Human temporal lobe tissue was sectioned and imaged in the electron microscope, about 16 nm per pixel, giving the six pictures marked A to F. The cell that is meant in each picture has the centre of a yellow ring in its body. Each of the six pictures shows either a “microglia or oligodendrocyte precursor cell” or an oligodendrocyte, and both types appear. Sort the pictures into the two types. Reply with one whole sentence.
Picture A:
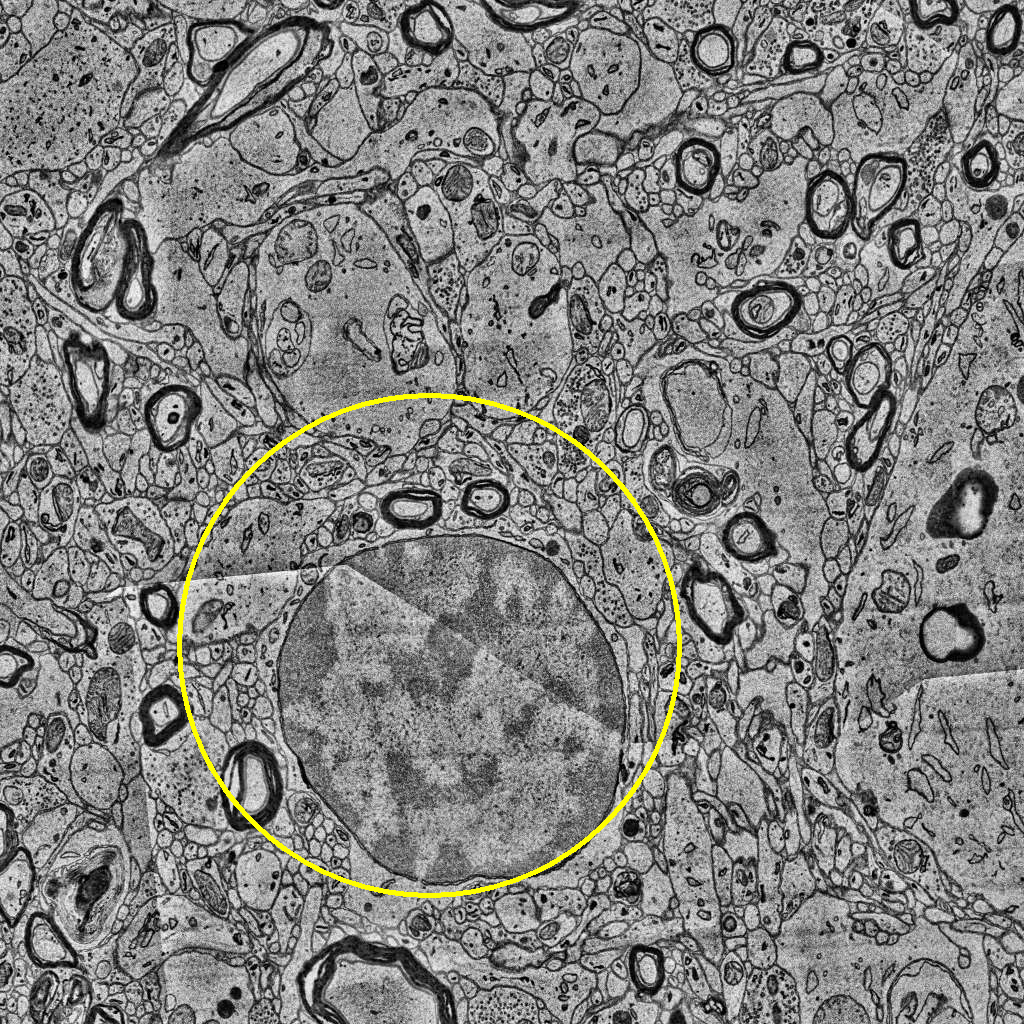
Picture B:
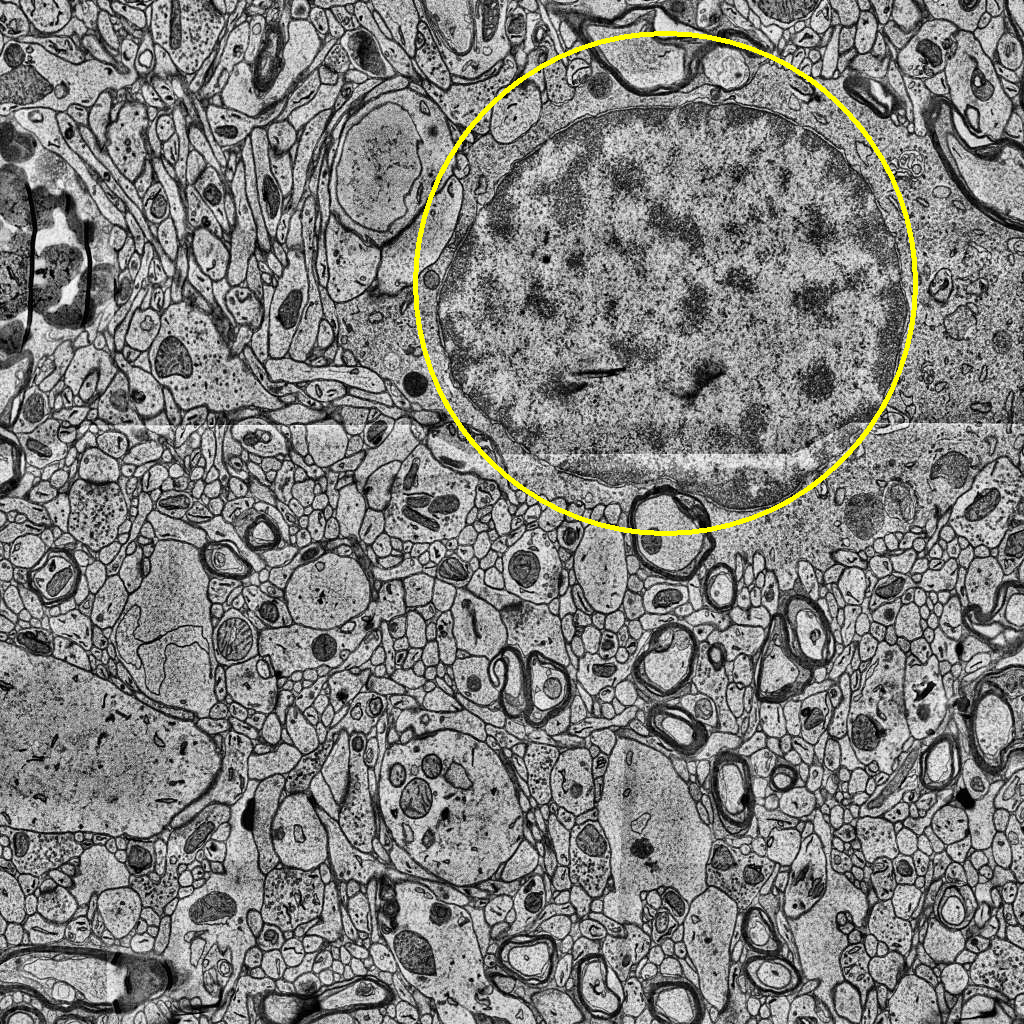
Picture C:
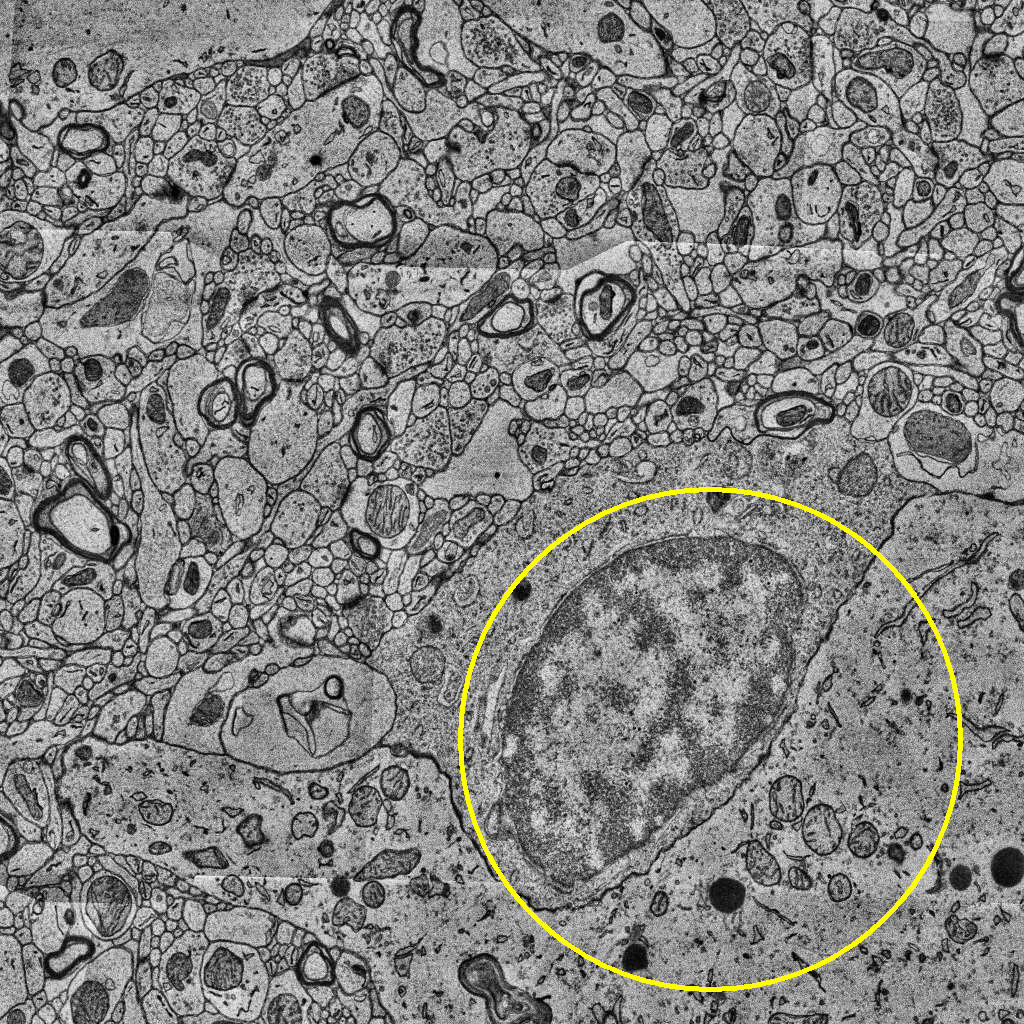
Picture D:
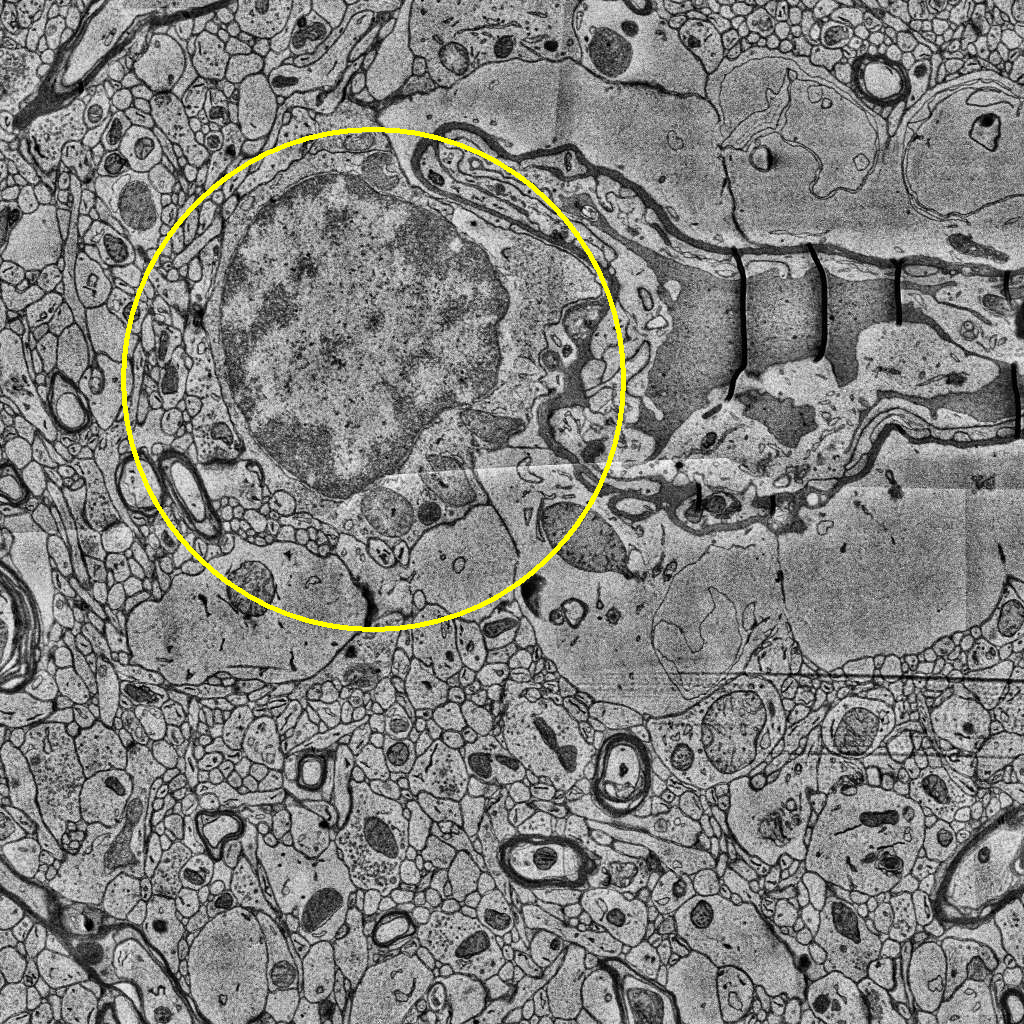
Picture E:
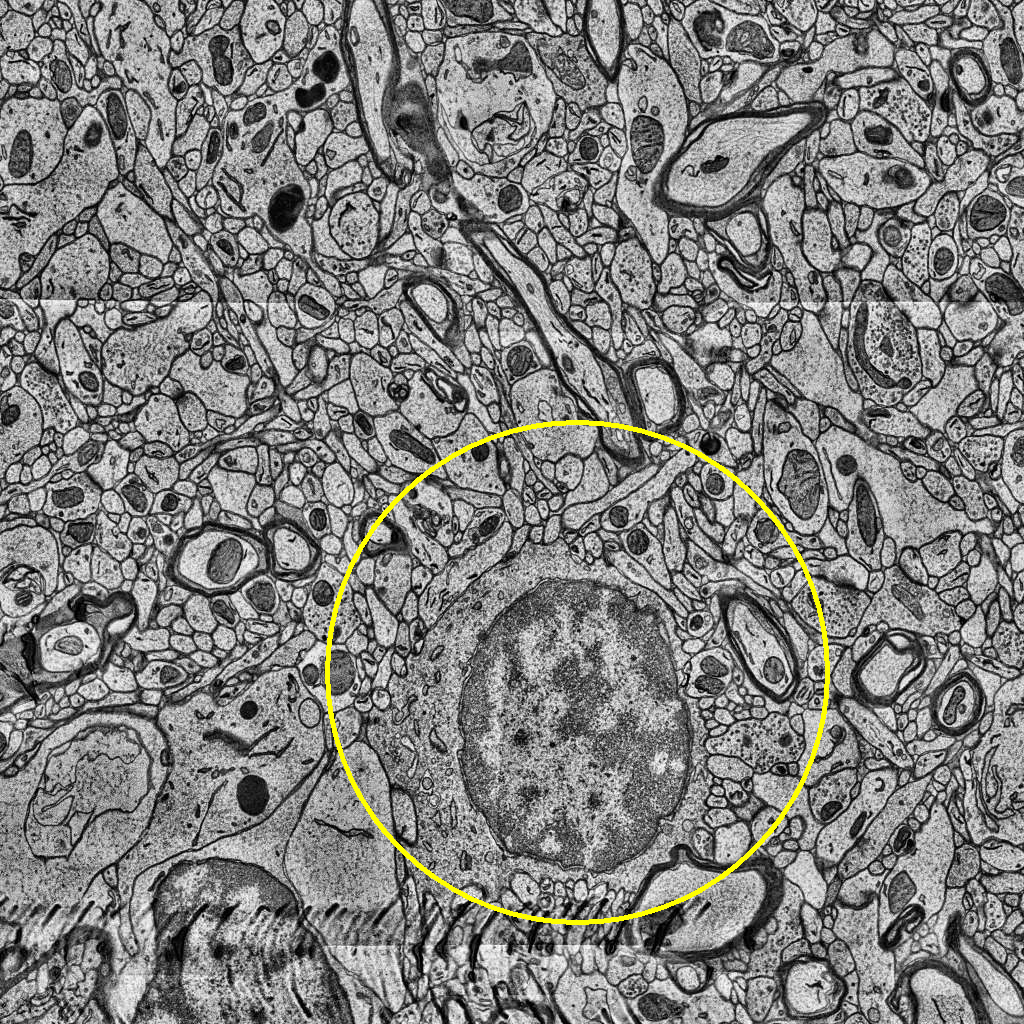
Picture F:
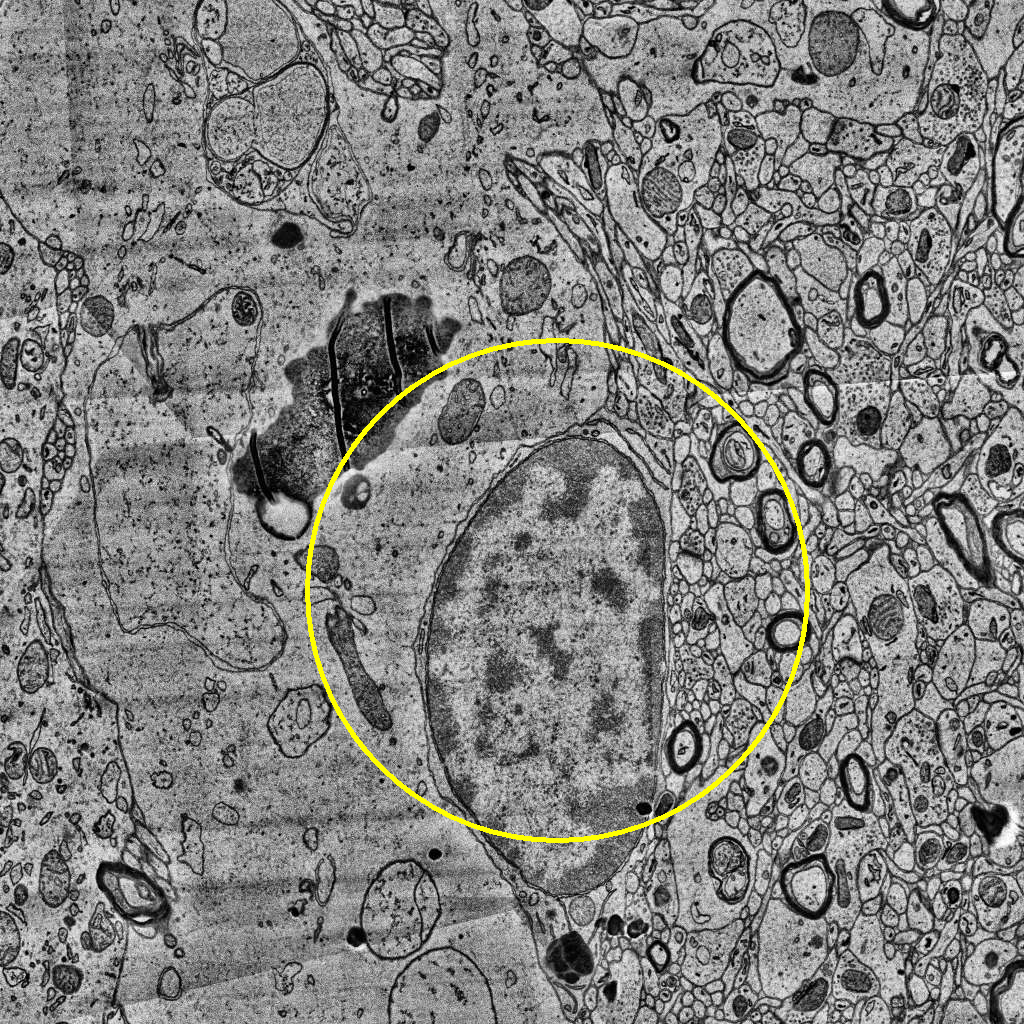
Pictures A and F show “microglia or oligodendrocyte precursor cells”, while pictures B, C, D and E show oligodendrocytes.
